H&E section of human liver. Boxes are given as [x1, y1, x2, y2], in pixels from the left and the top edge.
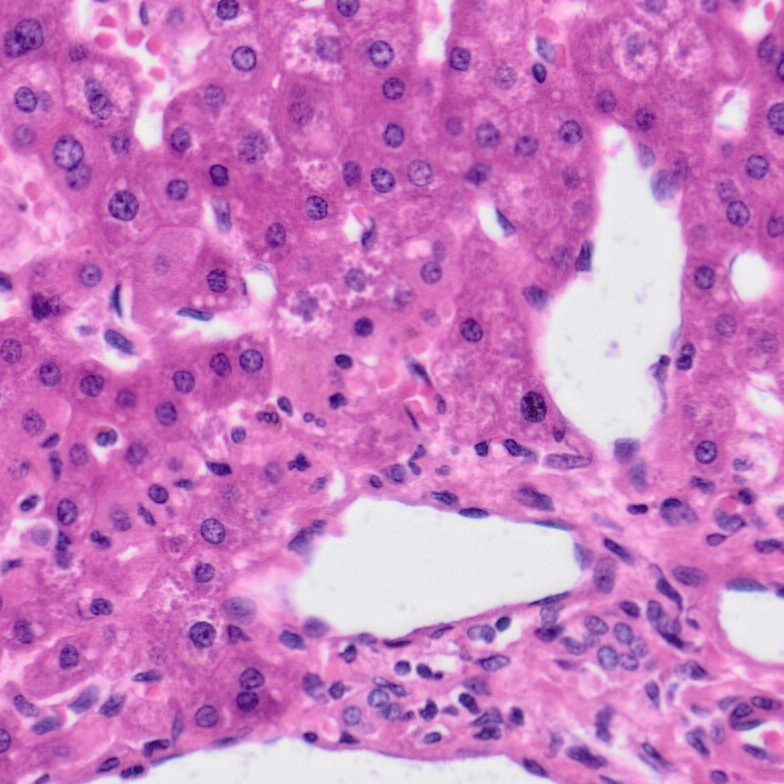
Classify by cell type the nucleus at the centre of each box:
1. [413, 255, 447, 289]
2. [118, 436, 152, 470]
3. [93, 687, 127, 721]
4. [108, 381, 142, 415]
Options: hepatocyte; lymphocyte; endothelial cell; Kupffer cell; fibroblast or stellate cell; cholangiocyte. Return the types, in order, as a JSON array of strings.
["hepatocyte", "hepatocyte", "fibroblast or stellate cell", "hepatocyte"]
